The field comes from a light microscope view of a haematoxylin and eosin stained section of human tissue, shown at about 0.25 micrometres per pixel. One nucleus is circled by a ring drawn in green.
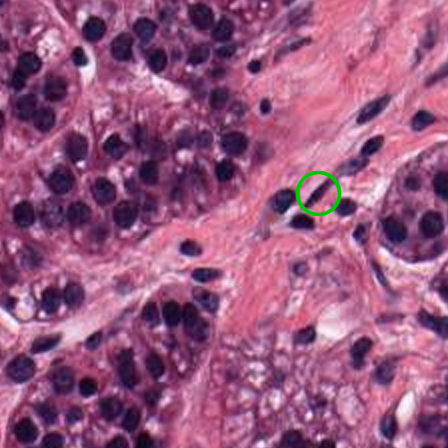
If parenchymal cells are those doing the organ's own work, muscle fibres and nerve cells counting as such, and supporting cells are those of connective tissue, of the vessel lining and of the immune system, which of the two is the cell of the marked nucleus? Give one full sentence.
Here the marked nucleus is the nucleus of a supporting cell.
